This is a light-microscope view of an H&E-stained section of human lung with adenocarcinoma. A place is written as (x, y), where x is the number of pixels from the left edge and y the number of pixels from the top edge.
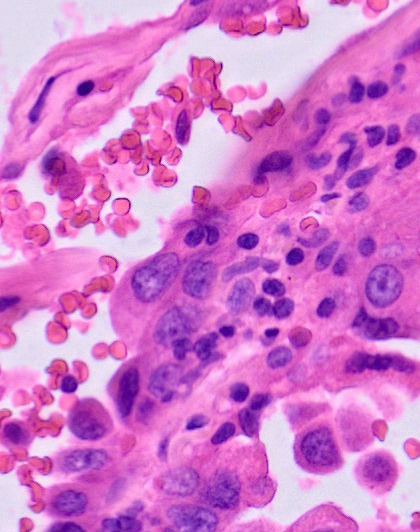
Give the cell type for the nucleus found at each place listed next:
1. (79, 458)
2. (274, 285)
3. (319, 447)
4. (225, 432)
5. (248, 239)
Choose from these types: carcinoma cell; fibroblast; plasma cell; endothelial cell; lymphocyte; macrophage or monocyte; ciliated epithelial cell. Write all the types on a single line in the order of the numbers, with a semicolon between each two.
carcinoma cell; lymphocyte; carcinoma cell; lymphocyte; lymphocyte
